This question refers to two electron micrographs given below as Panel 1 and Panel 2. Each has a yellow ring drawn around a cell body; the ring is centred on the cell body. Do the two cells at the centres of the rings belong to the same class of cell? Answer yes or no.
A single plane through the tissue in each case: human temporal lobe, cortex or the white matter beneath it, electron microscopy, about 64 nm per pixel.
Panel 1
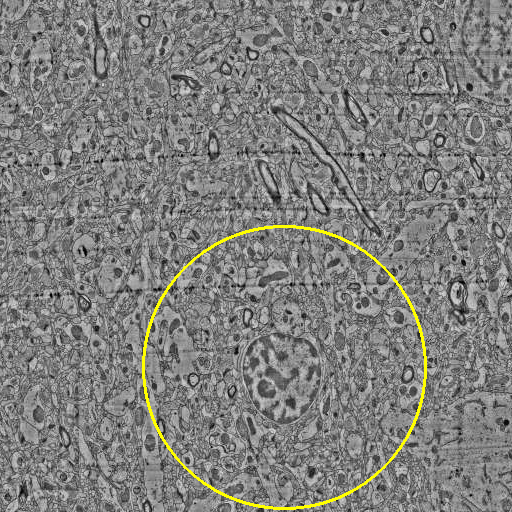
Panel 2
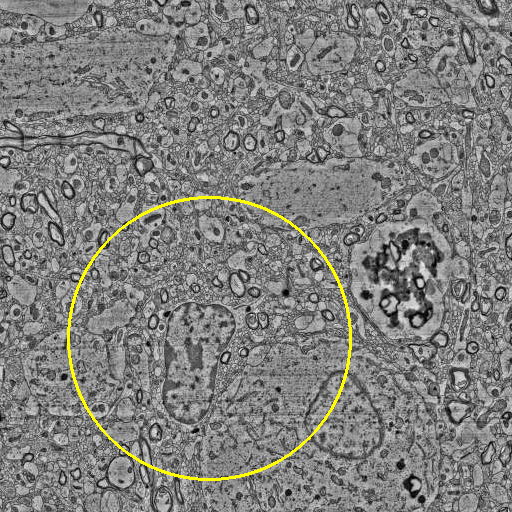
yes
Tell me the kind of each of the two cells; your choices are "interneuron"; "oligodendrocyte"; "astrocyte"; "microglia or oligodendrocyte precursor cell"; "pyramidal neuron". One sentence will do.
The cell in the first picture is a microglial cell or oligodendrocyte precursor cell, and so is the one in the second.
